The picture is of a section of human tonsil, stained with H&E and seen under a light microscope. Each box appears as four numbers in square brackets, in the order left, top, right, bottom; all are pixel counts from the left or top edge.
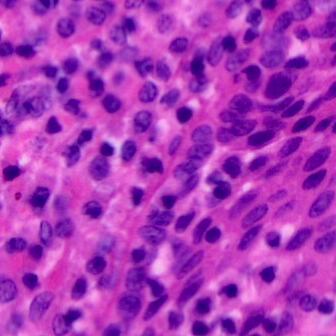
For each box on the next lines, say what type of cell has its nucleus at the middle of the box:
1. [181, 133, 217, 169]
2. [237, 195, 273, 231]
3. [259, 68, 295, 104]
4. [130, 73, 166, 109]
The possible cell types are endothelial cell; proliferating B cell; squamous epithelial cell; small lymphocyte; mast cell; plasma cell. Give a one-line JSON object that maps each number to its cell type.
{"1": "squamous epithelial cell", "2": "squamous epithelial cell", "3": "squamous epithelial cell", "4": "plasma cell"}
